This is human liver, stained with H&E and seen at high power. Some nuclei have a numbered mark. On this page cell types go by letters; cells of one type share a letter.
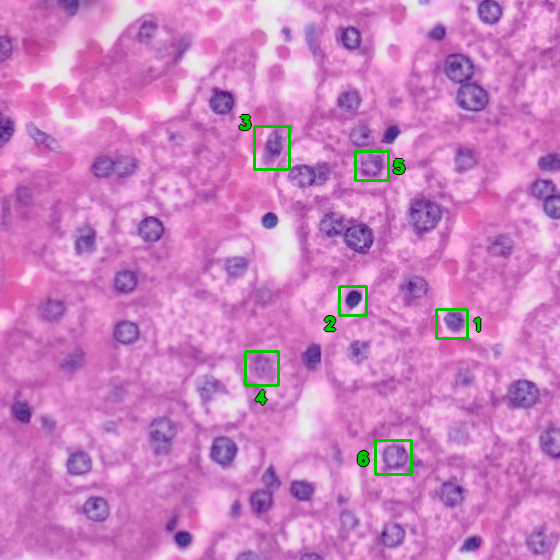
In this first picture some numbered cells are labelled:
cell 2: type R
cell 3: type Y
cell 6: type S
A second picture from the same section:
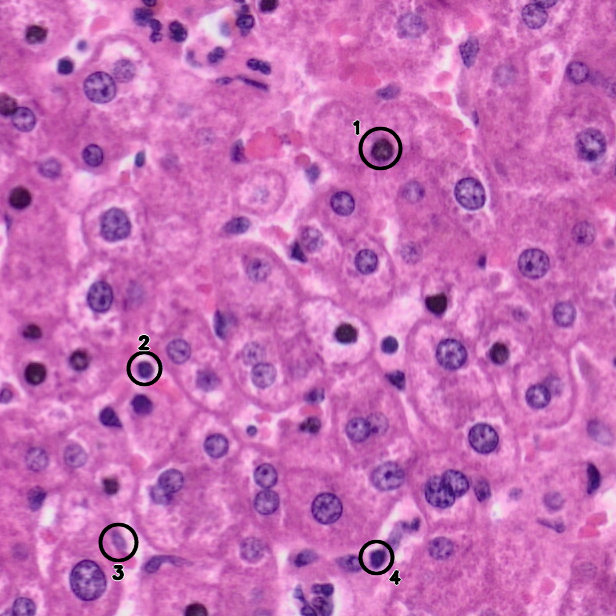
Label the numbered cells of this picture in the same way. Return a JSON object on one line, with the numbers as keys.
{"1": "type S", "2": "type R", "3": "type Y", "4": "type R"}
